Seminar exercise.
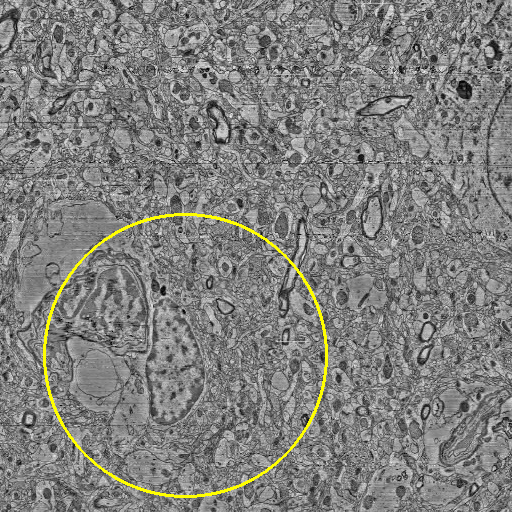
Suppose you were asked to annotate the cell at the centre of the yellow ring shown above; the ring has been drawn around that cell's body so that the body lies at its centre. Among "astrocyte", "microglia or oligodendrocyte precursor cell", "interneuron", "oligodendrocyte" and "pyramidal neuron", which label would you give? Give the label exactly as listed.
microglia or oligodendrocyte precursor cell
